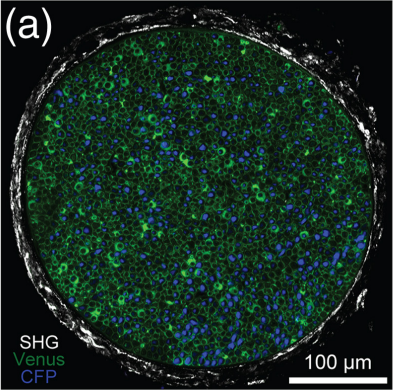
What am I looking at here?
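Cross-section of a peripheral nerve fascicle, packed with myelinated fibres in transverse section. A thin fibrous collagen layer of the perineurium wraps the whole fascicle at its border.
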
